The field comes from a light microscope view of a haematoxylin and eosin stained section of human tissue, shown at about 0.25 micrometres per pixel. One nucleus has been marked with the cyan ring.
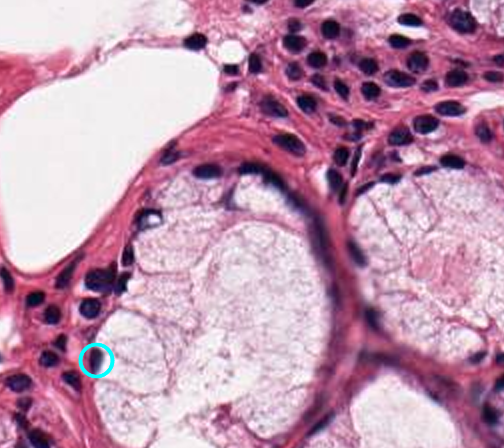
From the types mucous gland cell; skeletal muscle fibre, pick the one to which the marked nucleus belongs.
mucous gland cell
